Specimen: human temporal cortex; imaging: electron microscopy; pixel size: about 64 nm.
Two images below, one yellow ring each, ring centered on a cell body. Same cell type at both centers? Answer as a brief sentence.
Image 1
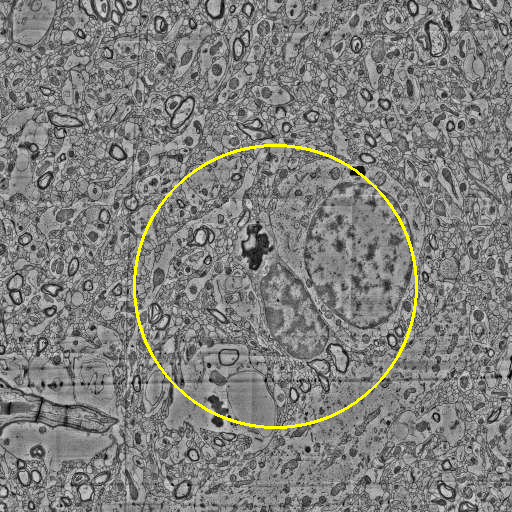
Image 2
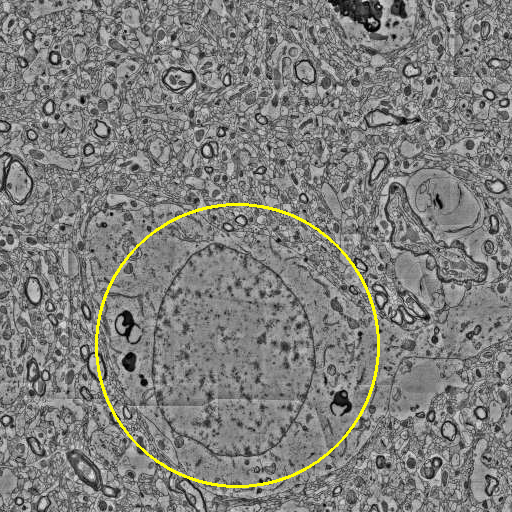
No, the cells are of two separate types.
